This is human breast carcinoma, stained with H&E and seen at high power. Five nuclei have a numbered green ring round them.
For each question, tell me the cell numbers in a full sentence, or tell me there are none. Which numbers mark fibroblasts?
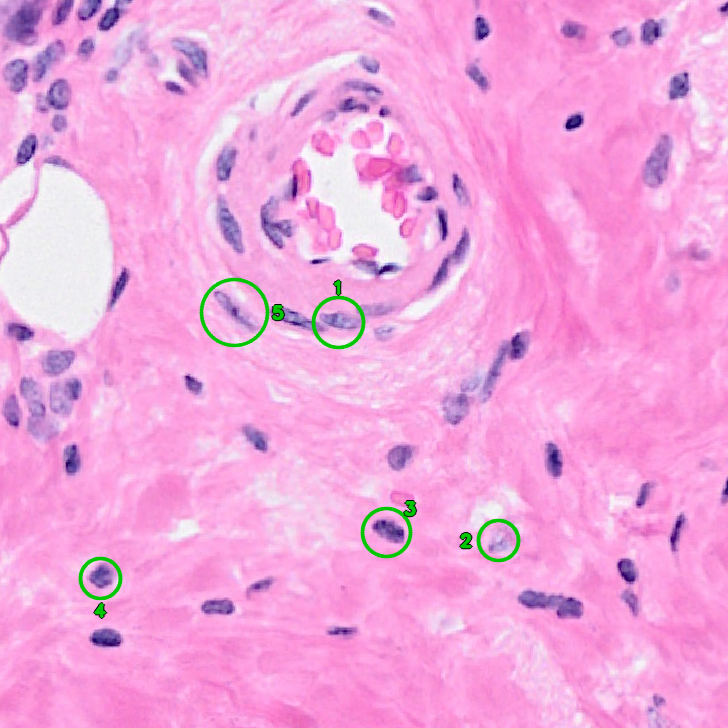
The cells marked by the numbers 2 and 5 are fibroblasts.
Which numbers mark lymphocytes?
Here, the cells that carry numbers 3 and 4 are lymphocytes.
